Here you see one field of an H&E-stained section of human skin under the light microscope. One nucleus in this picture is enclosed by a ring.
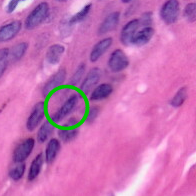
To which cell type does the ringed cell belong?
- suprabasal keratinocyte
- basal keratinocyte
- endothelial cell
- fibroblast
basal keratinocyte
